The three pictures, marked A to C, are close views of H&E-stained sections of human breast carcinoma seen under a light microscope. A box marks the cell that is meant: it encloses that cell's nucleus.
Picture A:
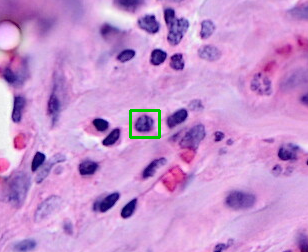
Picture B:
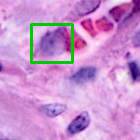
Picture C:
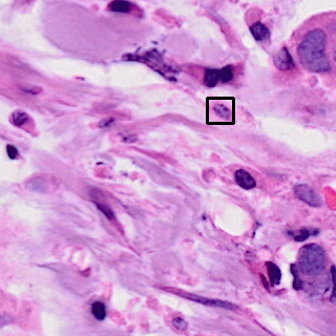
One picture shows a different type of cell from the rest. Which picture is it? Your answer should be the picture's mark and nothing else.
B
